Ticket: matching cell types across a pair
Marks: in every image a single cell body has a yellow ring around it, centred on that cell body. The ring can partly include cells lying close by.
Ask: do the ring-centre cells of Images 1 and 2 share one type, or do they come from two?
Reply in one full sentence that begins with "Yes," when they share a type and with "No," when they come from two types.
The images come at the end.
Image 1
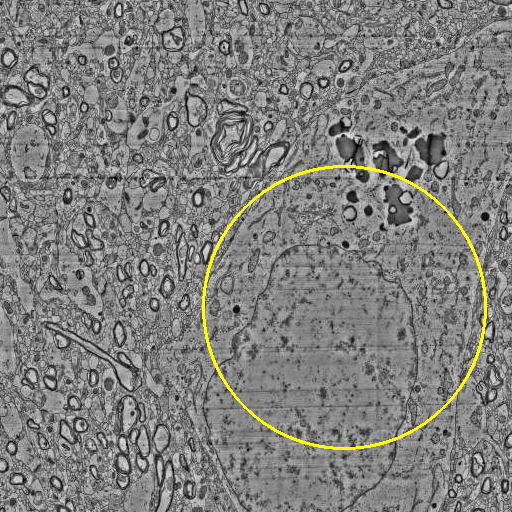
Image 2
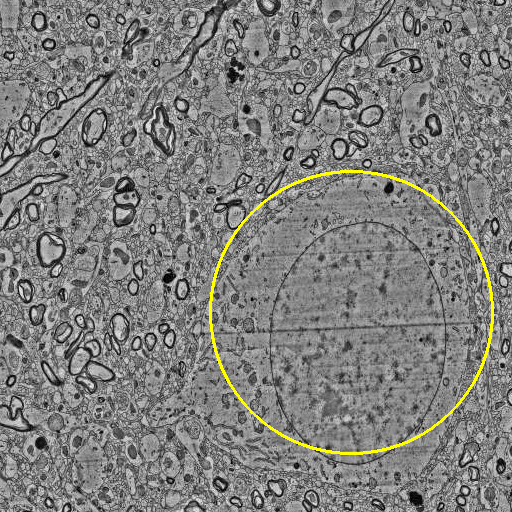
Yes, the cells in the centres of the rings in Image 1 and Image 2 share one type.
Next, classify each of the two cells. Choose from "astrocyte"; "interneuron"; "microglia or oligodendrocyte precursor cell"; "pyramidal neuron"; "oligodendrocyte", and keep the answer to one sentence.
Each of the two rings surrounds a pyramidal neuron.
